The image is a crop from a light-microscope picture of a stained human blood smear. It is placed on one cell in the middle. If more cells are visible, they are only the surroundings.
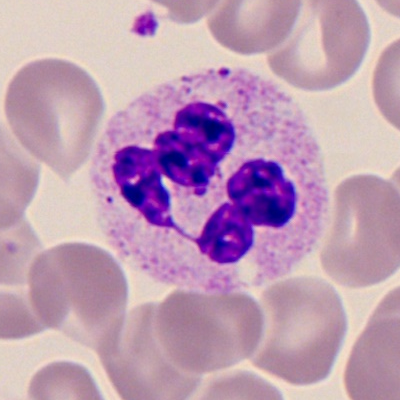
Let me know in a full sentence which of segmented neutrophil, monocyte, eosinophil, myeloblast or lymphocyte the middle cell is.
Classified as a segmented neutrophil is the cell in the middle of this crop.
